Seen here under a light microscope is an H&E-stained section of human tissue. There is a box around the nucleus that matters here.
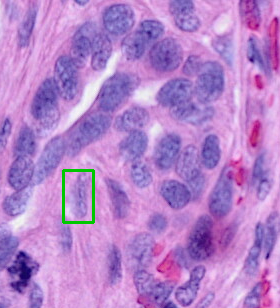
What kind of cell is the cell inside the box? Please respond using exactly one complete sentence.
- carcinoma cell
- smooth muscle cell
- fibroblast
Typologically, the cell inside the box is a fibroblast in this section.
